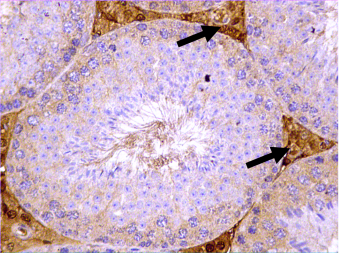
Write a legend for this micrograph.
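This section of the testis shows a seminiferous tubule in cross section, surrounded by parts of neighbouring tubules. The tubule wall holds several layers of germ cells with round blue nuclei in a faintly brown cytoplasm. Sperm tails gather in the central lumen. In the triangular interstitial spaces between the tubules lie clusters of Leydig cells, whose cytoplasm is stained an intense brown.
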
